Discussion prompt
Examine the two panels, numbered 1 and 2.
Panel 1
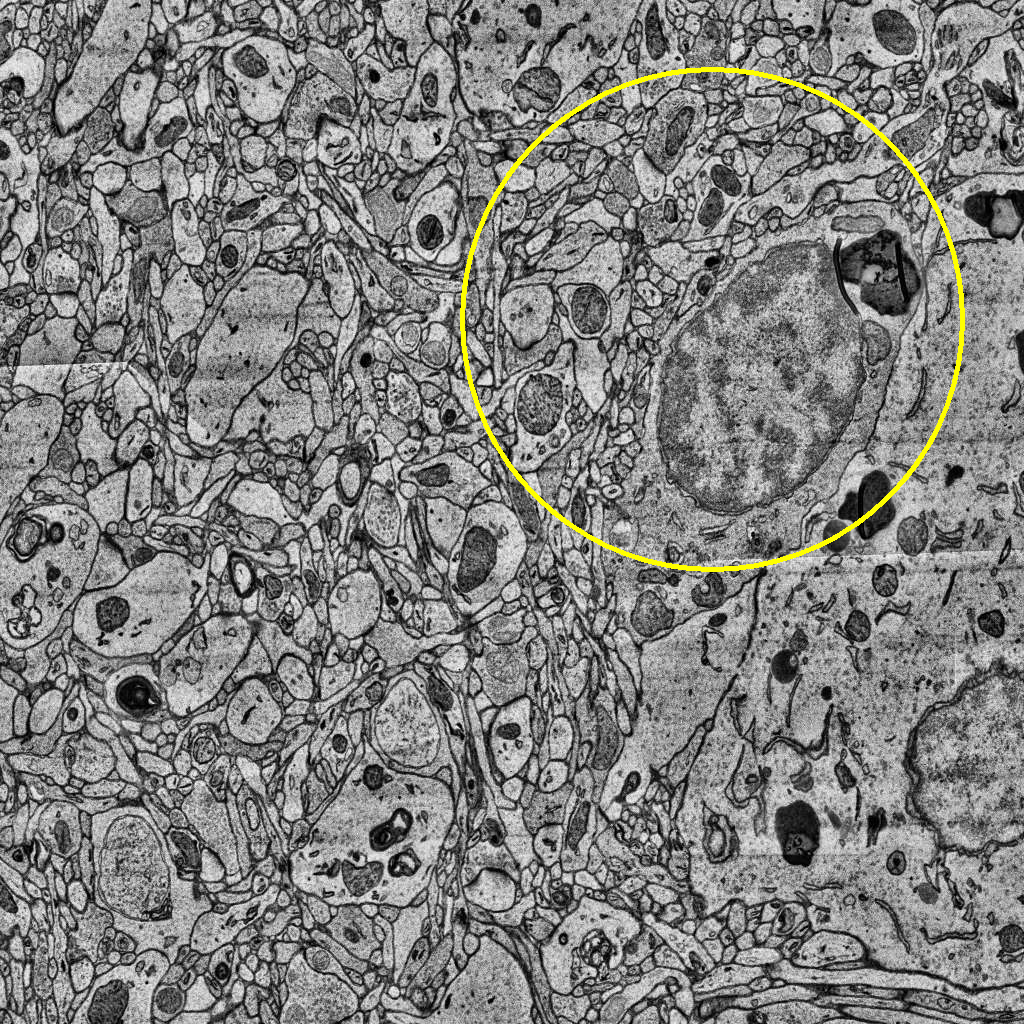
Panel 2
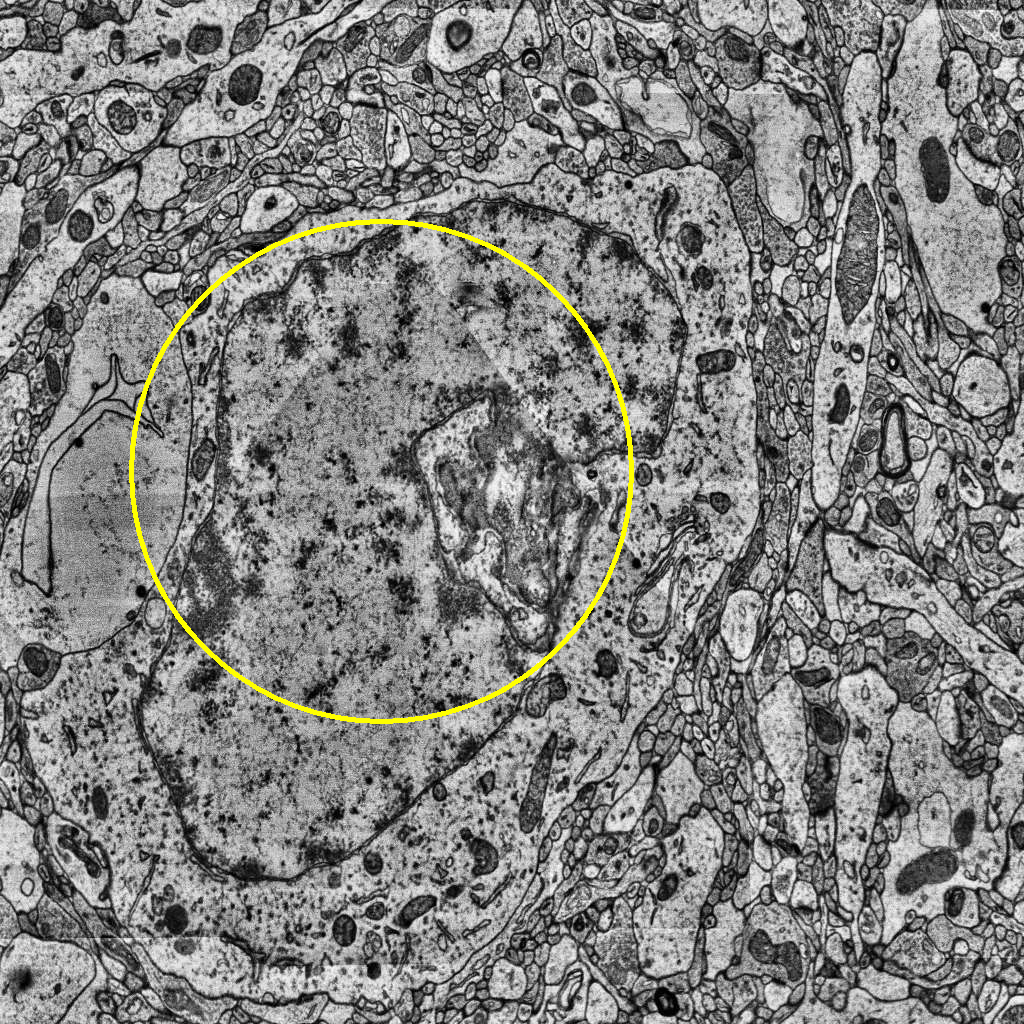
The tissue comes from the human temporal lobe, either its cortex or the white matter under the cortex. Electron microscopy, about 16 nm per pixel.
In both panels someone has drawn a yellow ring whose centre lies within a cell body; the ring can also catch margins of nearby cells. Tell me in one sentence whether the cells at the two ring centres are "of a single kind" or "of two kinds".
Taken together, the two cells at the ring centres of Panels 1 and 2 are of two kinds.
